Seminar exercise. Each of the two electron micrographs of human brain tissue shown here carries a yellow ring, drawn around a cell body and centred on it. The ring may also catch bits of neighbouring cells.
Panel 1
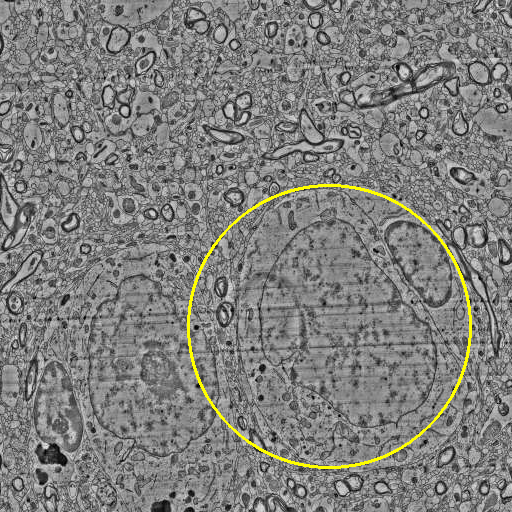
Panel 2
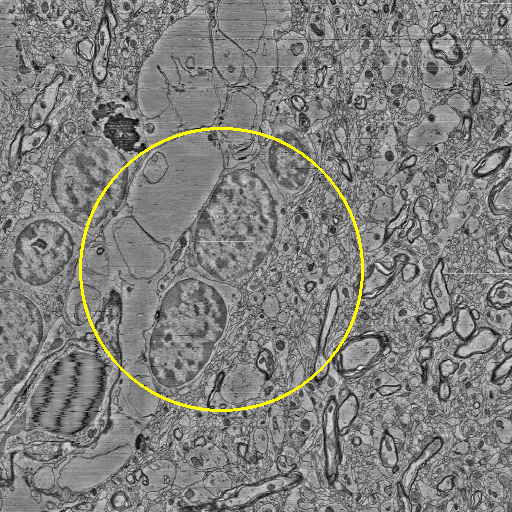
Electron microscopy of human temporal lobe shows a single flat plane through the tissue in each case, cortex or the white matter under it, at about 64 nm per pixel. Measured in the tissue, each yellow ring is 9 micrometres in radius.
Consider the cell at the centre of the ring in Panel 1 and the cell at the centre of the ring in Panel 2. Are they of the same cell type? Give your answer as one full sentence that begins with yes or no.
No, the two cells are of two types.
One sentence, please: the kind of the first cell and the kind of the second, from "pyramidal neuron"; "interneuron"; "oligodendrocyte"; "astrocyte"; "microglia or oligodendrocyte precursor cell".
The ring in the first picture surrounds a pyramidal neuron, and the ring in the second surrounds an oligodendrocyte.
